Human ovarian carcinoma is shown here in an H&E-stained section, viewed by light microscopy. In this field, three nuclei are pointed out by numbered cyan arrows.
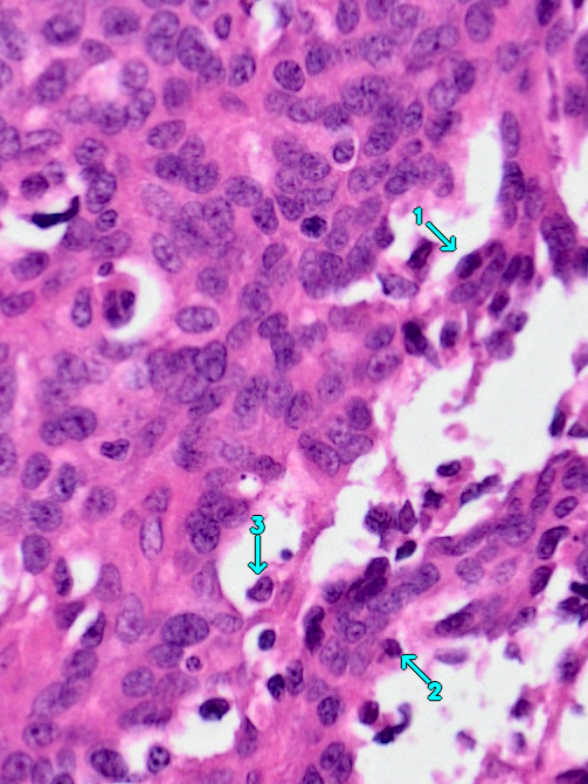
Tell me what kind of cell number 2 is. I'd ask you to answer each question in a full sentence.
The mark numbered 2 indicates the nucleus of a carcinoma cell.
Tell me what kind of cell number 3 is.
Belonging to a macrophage or monocyte is the nucleus that carries the number 3.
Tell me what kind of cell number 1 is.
Among the marked nuclei, number 1 belongs to a carcinoma cell.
